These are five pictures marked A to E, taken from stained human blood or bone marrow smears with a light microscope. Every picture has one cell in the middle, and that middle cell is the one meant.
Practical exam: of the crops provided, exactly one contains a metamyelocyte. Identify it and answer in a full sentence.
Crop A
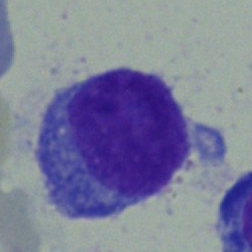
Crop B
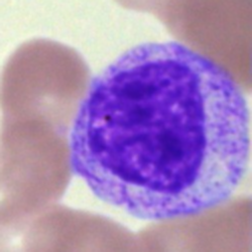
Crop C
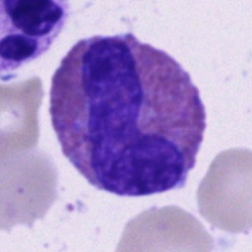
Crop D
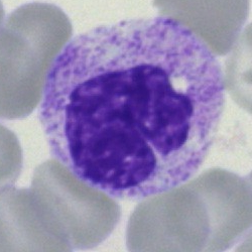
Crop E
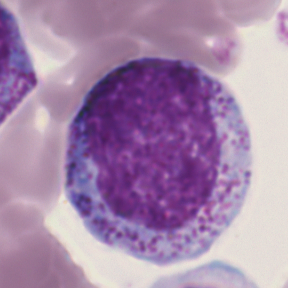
Crop D is the one to choose: it shows a metamyelocyte.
